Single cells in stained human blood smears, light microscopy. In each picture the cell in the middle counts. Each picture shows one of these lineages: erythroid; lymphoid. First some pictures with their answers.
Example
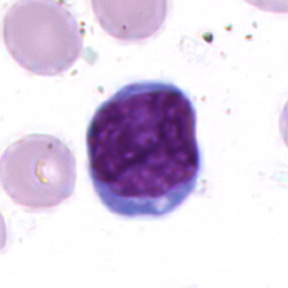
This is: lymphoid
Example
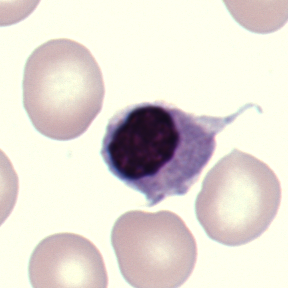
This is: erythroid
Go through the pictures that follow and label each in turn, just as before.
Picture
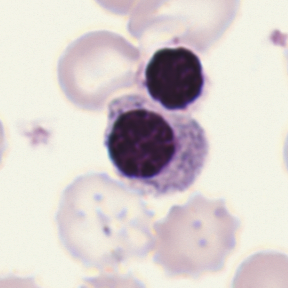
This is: erythroid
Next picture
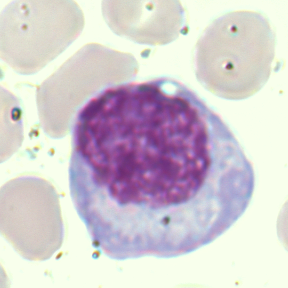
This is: lymphoid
